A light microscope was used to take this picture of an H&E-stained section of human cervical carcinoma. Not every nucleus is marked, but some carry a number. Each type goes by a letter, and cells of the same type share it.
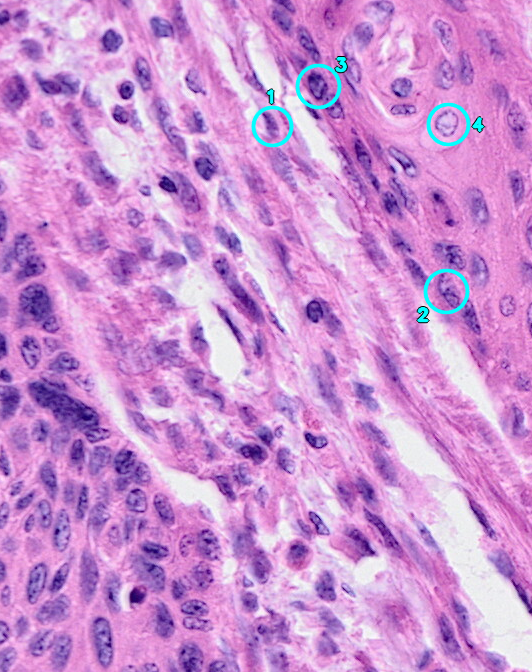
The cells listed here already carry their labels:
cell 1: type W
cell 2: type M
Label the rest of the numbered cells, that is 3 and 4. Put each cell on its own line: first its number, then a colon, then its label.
3: type M
4: type M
